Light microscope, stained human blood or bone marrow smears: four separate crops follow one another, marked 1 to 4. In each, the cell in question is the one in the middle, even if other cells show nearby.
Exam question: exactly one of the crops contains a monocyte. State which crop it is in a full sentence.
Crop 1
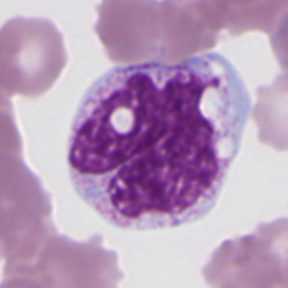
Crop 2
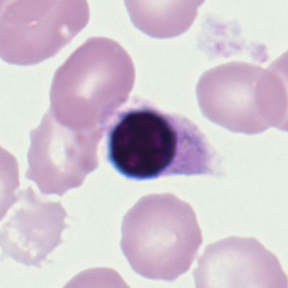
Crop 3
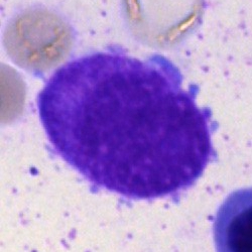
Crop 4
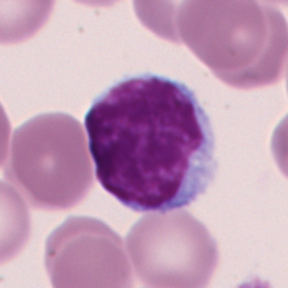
Only in crop 1 is a monocyte shown.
